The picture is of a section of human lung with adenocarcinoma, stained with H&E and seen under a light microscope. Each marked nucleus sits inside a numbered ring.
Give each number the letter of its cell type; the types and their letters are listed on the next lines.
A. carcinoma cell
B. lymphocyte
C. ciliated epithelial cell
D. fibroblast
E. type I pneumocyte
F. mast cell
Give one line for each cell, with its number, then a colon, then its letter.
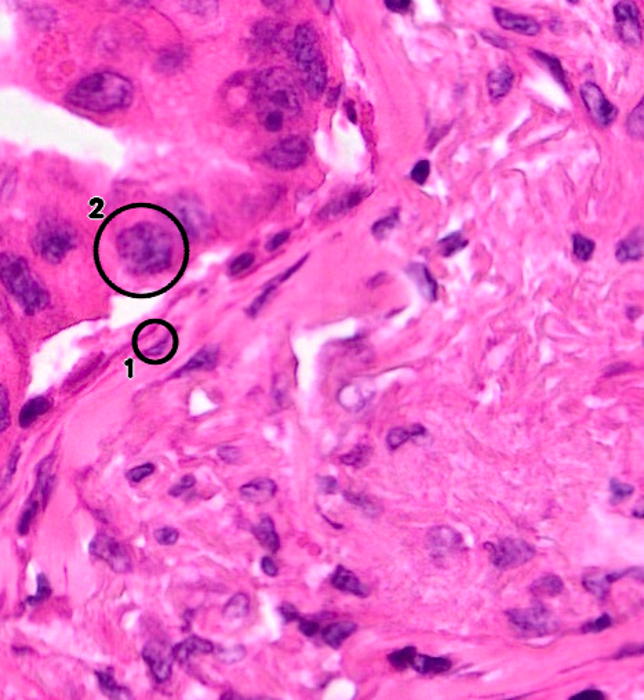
1: D
2: A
